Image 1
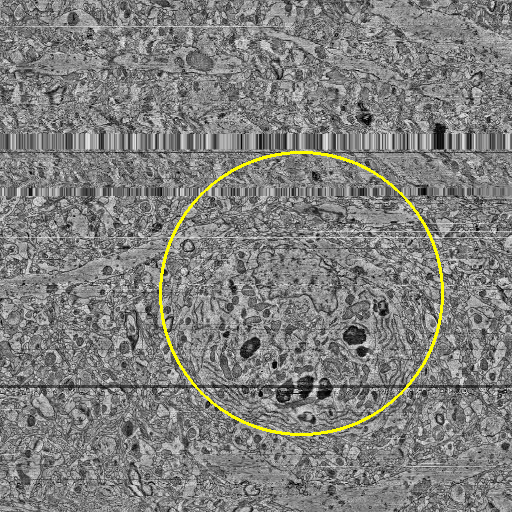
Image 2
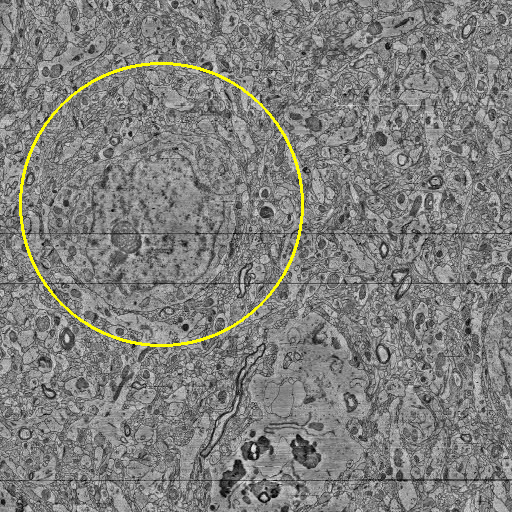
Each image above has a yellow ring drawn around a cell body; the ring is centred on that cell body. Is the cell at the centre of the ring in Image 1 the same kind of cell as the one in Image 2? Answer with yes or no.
yes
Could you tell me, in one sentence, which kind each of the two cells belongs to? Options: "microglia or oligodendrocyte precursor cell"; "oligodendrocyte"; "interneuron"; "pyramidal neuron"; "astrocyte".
In each of the two pictures, the ringed cell is an interneuron.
